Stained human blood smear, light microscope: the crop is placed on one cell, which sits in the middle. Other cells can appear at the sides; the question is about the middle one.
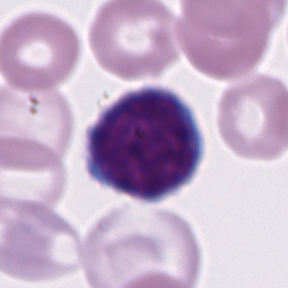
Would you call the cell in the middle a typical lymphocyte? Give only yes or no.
yes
